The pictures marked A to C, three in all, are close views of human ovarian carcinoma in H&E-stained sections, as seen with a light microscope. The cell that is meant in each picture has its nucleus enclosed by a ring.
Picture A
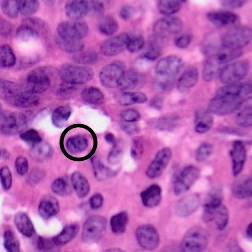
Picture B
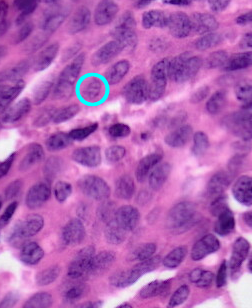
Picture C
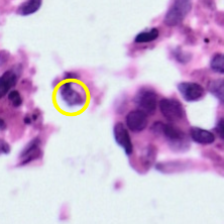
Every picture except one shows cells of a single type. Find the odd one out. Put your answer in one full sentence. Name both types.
All pictures except B show “macrophages or monocytes”; picture B shows a carcinoma cell.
